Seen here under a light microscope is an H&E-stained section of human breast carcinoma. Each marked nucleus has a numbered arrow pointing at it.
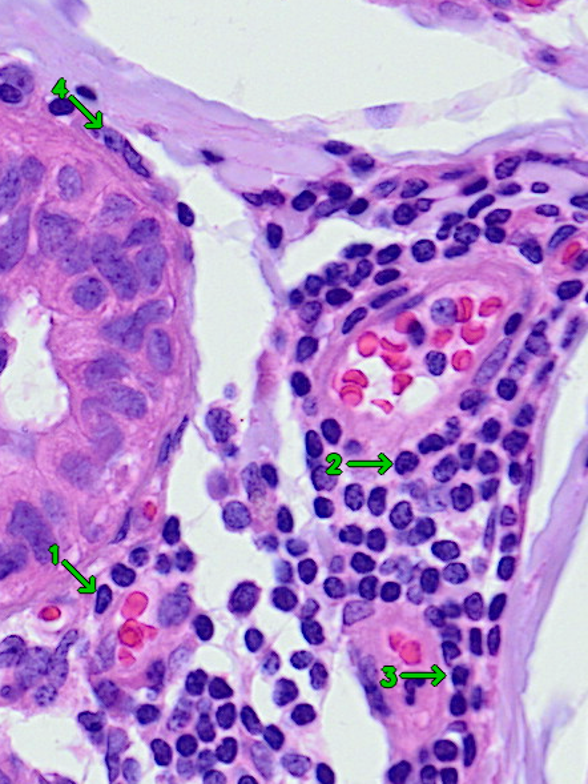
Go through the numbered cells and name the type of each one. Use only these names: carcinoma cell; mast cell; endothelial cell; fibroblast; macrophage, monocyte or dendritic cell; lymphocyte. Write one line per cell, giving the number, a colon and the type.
1: lymphocyte
2: lymphocyte
3: lymphocyte
4: endothelial cell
